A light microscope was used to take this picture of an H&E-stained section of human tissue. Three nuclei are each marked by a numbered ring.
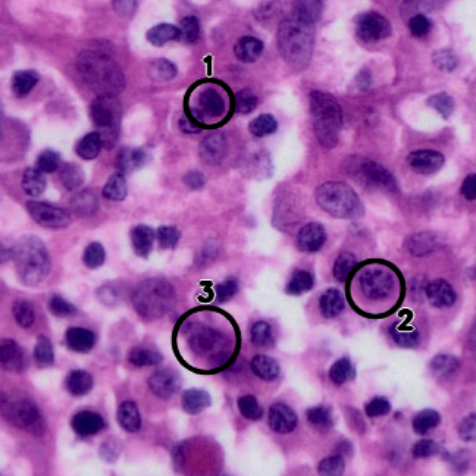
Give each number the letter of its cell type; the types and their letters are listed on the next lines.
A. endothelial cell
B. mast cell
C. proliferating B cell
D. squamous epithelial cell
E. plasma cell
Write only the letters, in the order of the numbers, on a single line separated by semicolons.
E; E; D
